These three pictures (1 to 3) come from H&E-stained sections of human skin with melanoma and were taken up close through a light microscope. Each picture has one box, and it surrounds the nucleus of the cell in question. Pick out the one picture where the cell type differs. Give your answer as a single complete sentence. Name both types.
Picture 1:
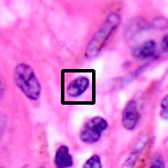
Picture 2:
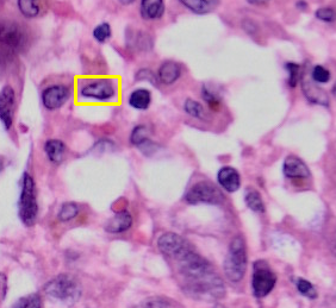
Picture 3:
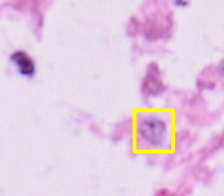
All pictures except 1 show “macrophages or monocytes”; picture 1 shows a lymphocyte.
